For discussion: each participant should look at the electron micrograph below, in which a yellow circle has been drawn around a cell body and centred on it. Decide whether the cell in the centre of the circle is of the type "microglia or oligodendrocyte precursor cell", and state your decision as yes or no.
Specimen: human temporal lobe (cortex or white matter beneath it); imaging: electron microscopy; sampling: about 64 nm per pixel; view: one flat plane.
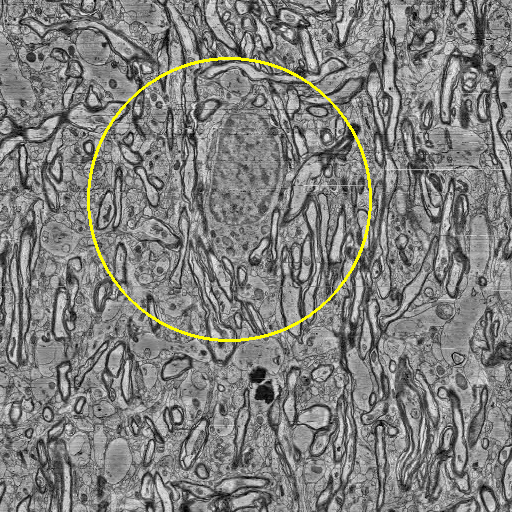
no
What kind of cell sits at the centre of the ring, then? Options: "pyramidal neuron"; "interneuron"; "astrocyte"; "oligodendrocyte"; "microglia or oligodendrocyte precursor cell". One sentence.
That cell in the ring is an oligodendrocyte instead.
